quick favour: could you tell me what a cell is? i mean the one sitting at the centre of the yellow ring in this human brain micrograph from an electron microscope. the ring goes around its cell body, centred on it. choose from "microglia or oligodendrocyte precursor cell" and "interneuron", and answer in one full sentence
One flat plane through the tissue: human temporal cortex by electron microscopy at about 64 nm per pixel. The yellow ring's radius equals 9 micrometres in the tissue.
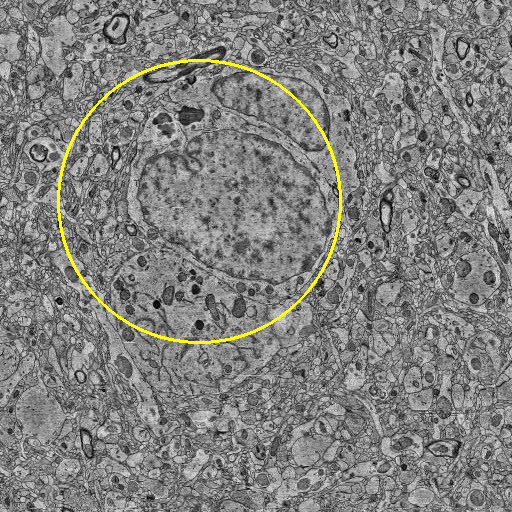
That's an interneuron, the cell sitting at the centre of the yellow ring.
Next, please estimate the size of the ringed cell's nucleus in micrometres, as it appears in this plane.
In this plane the nucleus is about 13 micrometres by 9.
